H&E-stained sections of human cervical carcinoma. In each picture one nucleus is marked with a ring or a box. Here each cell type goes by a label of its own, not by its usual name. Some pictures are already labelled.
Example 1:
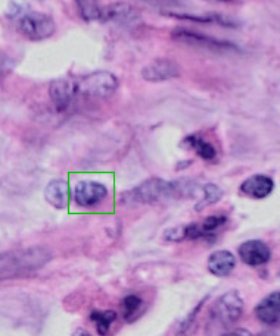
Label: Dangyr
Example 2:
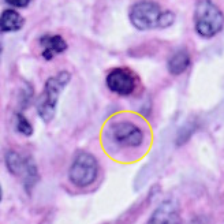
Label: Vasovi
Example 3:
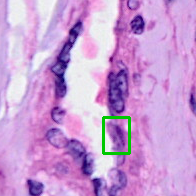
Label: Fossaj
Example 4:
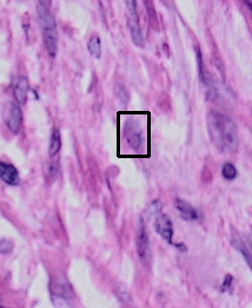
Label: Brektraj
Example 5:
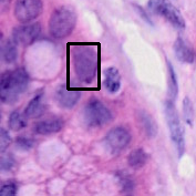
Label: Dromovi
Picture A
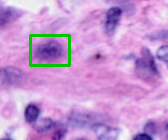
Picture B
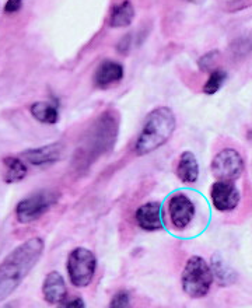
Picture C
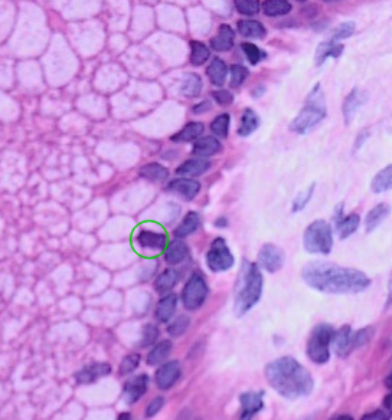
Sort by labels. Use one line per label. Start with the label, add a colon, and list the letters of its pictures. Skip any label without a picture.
Dangyr: B
Fossaj: A
Dromovi: C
